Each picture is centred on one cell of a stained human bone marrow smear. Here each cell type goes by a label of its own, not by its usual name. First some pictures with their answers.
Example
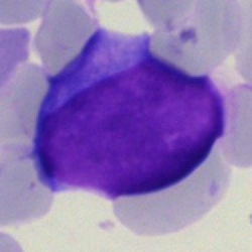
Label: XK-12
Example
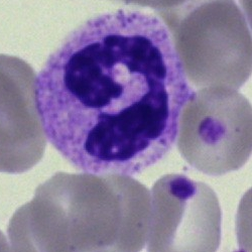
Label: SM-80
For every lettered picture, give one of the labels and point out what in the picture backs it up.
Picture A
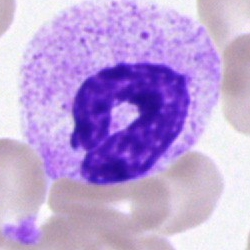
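SM-80: Fine purple granules are scattered throughout the cytoplasm.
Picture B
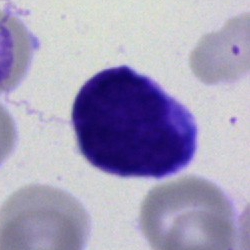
XK-12: The dark nucleus fills almost the whole cell.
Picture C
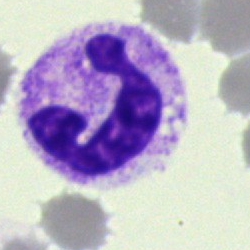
SM-80: Fine violet granules are scattered throughout the cytoplasm.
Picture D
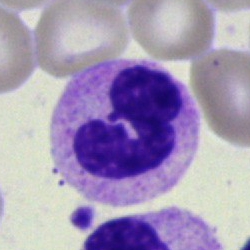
SM-80: A wide rim of pale lilac-pink cytoplasm surrounds the nucleus.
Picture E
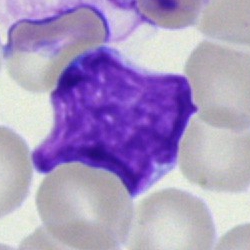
XK-12: Cytoplasm is scant, seen at most as a thin rim.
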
